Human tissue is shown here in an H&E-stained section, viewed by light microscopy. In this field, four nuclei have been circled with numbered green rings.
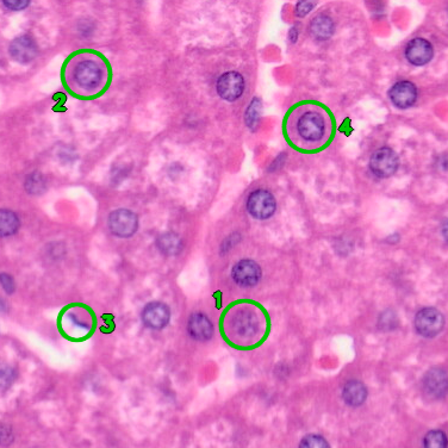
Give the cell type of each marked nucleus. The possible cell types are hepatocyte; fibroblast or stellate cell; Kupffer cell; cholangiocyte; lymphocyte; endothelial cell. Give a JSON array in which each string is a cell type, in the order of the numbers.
["hepatocyte", "hepatocyte", "endothelial cell", "hepatocyte"]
